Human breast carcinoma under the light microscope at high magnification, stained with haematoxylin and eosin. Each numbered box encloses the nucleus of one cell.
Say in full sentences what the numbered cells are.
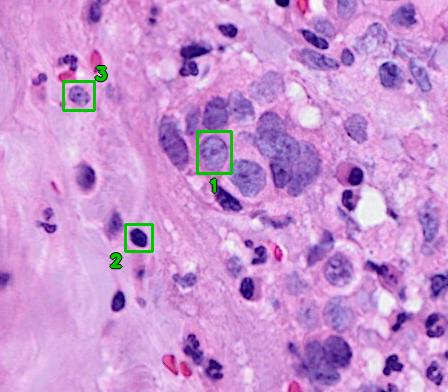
Cell 1 is a carcinoma cell. Cell 2 is a lymphocyte. Cell 3 is a mast cell.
